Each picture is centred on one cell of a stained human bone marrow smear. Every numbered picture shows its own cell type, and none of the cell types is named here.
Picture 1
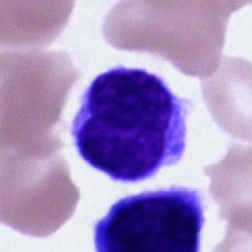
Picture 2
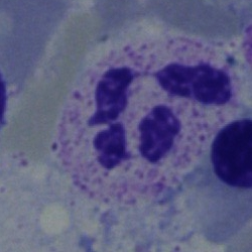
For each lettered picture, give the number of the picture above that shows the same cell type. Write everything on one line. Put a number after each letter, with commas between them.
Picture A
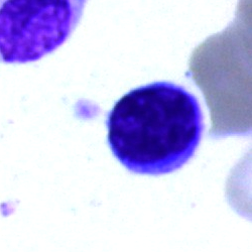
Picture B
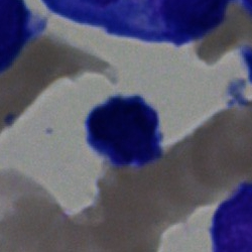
A 1, B 1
